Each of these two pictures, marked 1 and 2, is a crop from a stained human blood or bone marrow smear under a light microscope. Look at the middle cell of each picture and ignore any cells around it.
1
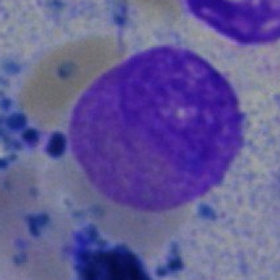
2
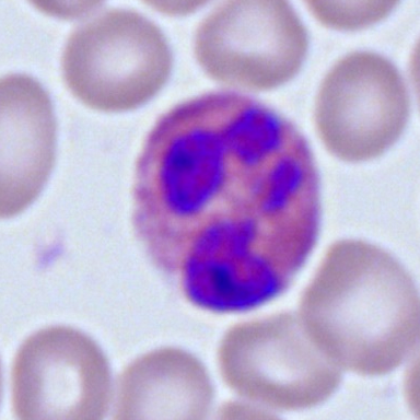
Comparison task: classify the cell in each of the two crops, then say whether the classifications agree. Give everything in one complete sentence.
Yes, both crops show eosinophils in the middle.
